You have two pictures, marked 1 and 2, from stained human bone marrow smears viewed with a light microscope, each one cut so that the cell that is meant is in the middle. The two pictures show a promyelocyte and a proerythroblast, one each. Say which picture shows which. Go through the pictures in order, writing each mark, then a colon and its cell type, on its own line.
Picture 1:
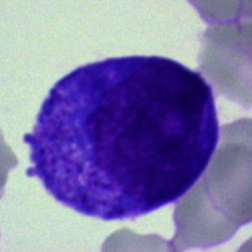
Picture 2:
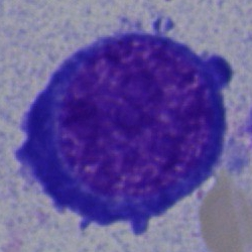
1: promyelocyte
2: proerythroblast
